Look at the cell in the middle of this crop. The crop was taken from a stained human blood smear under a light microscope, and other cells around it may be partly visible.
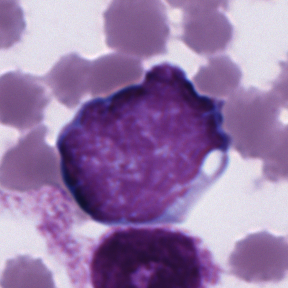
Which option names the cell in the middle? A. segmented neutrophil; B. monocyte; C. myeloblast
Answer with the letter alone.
C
